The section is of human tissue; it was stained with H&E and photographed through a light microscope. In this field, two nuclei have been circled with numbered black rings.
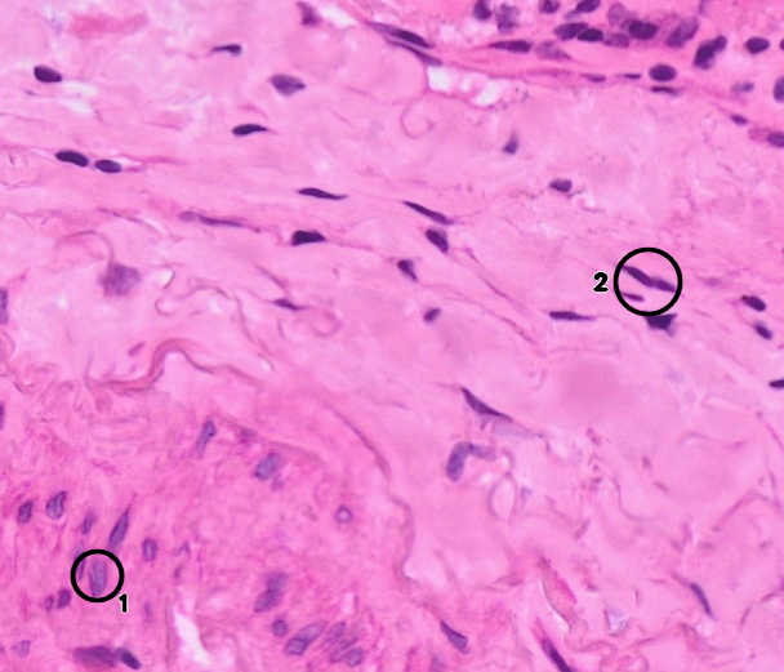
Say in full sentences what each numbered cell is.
Cell 1 is a smooth muscle cell or pericyte. Cell 2 is a fibroblast.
